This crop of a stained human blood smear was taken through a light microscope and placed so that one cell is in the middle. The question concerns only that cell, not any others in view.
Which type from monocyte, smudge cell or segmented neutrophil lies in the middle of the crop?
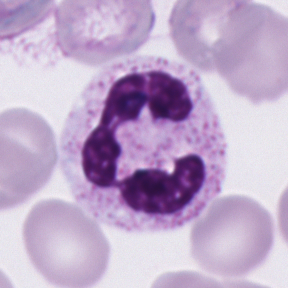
segmented neutrophil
